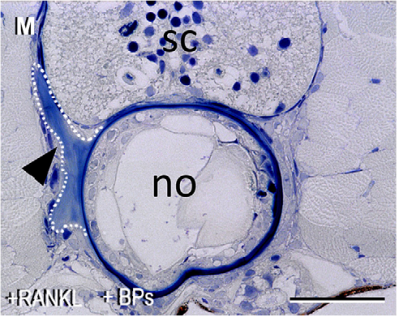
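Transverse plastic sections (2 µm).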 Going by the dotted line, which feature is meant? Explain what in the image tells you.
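The dotted line surrounds a densely blue-stained band that rises from the thick ring around the large round central structure toward the neural tissue above. The outlined band is continuous with the dark ring.
Conclusion: basis of the bony arches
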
